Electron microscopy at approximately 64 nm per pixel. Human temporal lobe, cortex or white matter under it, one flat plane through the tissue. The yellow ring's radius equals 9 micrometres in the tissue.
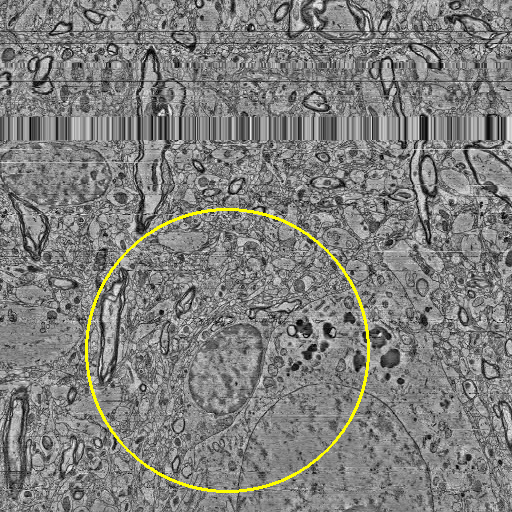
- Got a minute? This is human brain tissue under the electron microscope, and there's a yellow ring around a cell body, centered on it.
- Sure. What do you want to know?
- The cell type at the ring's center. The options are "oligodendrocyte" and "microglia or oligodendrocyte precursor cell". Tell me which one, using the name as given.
oligodendrocyte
